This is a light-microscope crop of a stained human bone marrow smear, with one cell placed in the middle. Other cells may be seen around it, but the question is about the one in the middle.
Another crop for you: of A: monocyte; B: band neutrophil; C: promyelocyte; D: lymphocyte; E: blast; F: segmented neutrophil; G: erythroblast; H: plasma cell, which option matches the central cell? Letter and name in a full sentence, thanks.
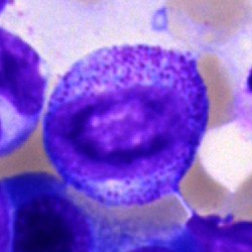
Occupying the middle of the crop is a promyelocyte, hence option C is correct.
